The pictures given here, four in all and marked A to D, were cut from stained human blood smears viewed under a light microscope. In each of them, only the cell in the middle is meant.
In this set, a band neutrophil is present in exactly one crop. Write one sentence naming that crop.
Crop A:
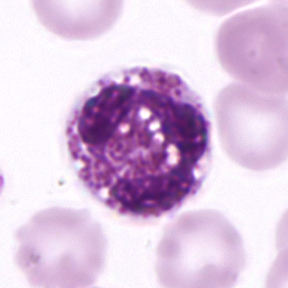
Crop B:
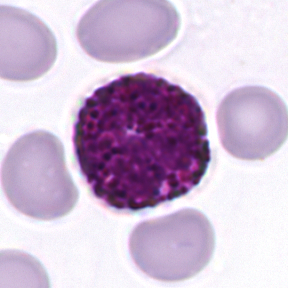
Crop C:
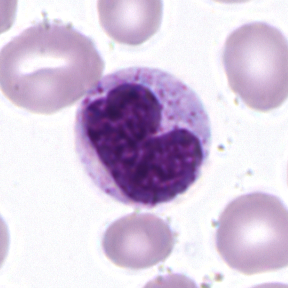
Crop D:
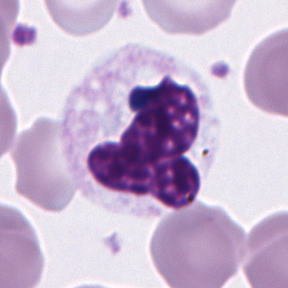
Crop C is where a band neutrophil is shown.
